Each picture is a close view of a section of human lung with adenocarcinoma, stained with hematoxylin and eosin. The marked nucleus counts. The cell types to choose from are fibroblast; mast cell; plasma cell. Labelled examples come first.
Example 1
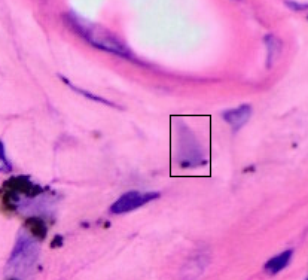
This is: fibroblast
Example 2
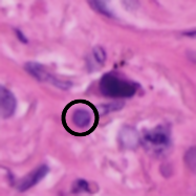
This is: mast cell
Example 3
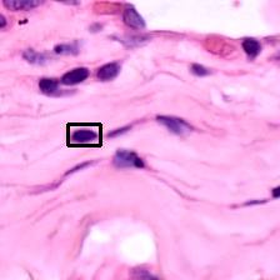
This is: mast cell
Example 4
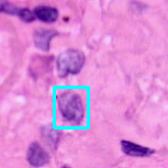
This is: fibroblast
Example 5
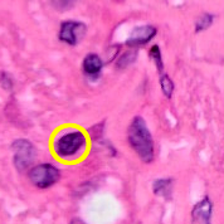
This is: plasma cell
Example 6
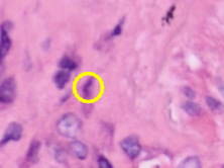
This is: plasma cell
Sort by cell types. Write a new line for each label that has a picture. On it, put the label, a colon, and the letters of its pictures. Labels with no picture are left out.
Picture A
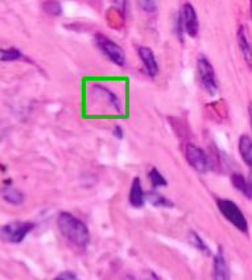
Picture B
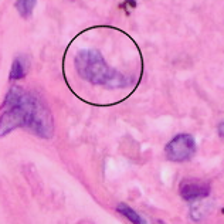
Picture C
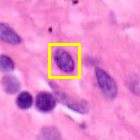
fibroblast: A, B
mast cell: C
